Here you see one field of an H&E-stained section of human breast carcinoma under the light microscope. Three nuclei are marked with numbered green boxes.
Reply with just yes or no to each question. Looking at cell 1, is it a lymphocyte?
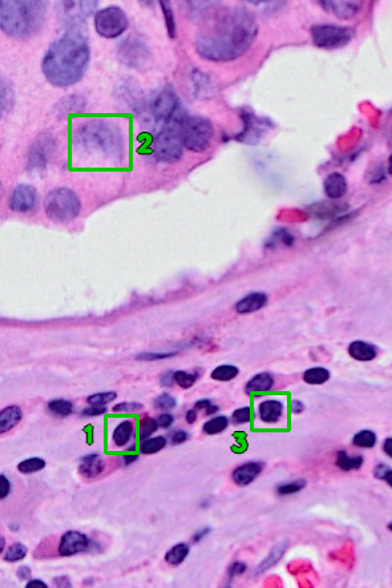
yes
